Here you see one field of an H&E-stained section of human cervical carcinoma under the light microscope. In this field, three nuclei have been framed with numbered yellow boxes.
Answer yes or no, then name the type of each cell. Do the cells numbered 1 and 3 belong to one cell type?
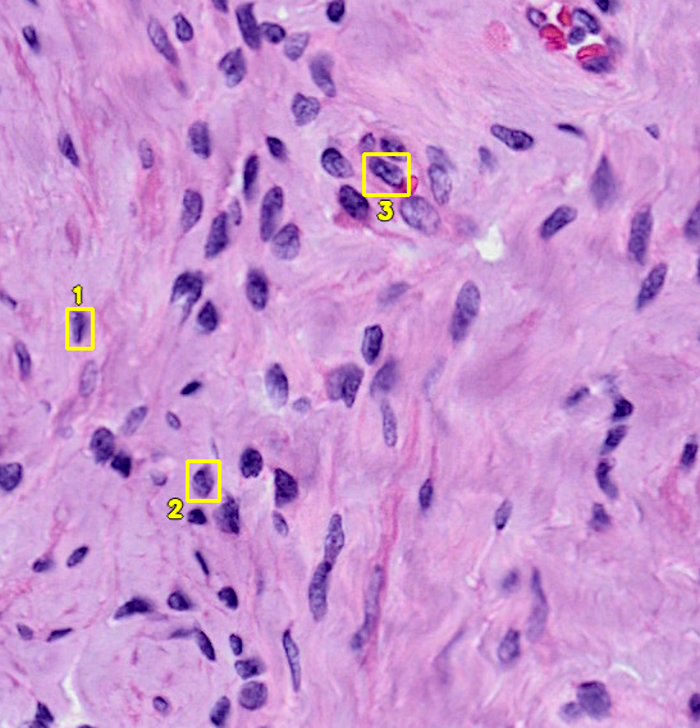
No, the cell bearing number 1 is a fibroblast, while the one bearing number 3 is an endothelial cell.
